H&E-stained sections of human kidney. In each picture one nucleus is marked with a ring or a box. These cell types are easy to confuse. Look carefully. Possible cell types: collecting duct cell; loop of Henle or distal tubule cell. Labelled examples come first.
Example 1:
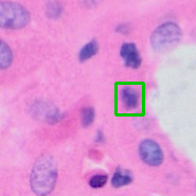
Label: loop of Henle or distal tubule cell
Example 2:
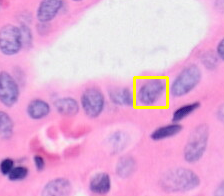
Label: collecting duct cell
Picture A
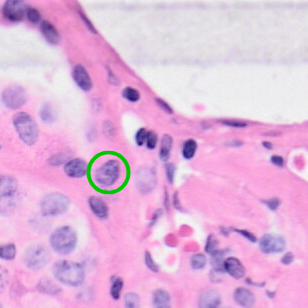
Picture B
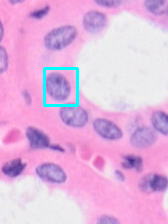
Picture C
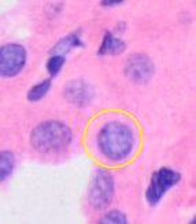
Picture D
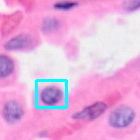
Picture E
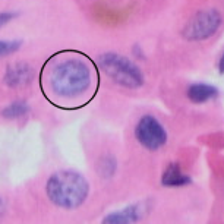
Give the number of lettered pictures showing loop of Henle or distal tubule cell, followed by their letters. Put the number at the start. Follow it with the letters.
Count: 3 (C, D, E)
